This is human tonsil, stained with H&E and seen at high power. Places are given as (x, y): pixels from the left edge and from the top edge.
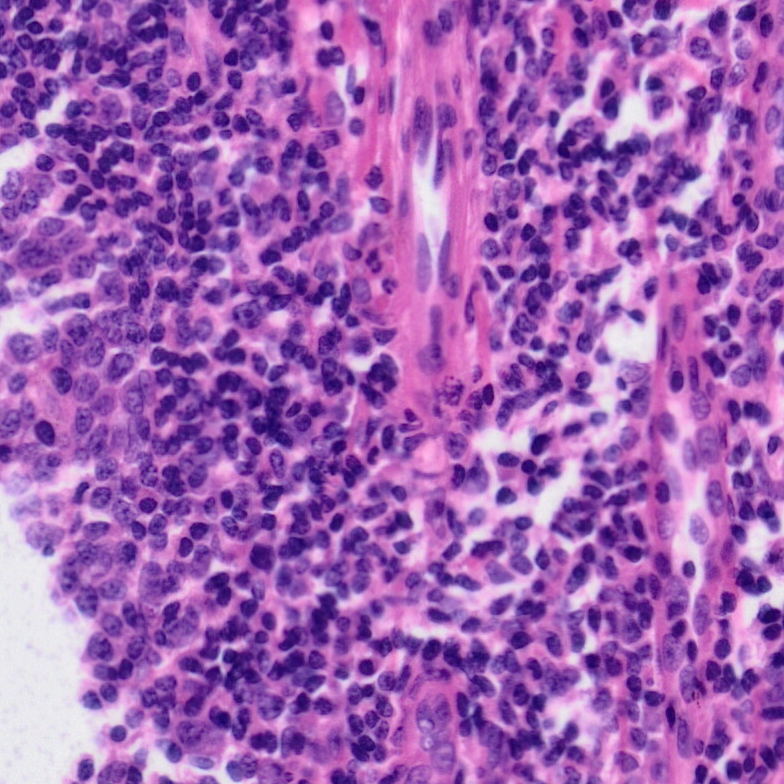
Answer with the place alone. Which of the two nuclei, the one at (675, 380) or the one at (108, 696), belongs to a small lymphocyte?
(108, 696)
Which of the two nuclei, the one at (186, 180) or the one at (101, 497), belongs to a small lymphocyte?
(186, 180)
